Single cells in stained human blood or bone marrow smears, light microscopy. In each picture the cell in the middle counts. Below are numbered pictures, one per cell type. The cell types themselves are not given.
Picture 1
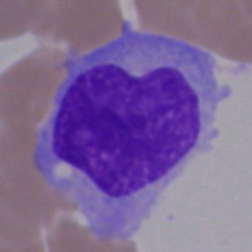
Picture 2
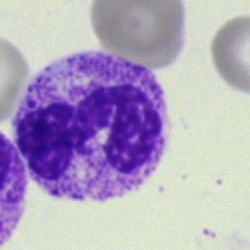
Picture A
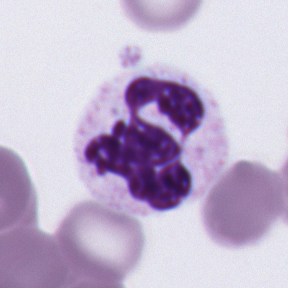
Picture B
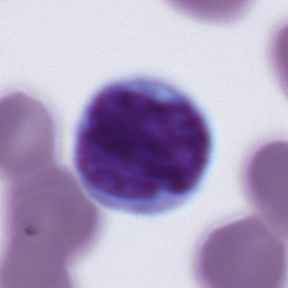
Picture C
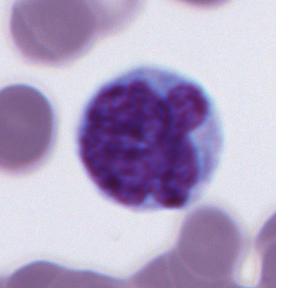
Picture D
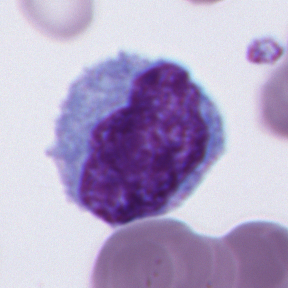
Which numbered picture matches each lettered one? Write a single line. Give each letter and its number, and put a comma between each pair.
A 2, B 1, C 1, D 1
